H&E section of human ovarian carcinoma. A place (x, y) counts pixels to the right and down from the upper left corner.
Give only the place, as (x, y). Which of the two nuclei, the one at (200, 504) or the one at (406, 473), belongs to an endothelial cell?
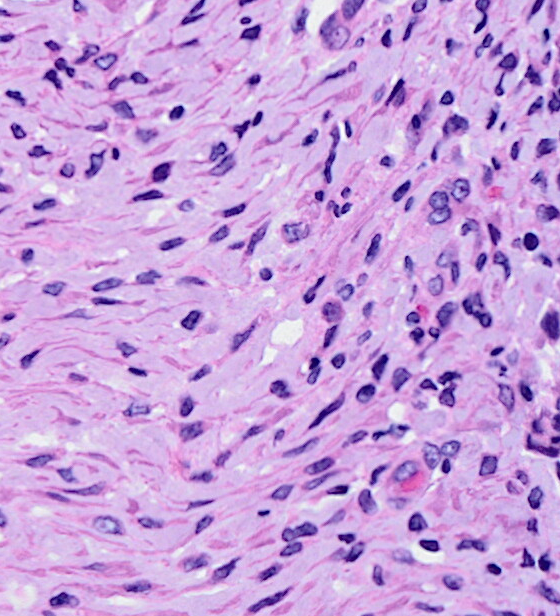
(406, 473)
